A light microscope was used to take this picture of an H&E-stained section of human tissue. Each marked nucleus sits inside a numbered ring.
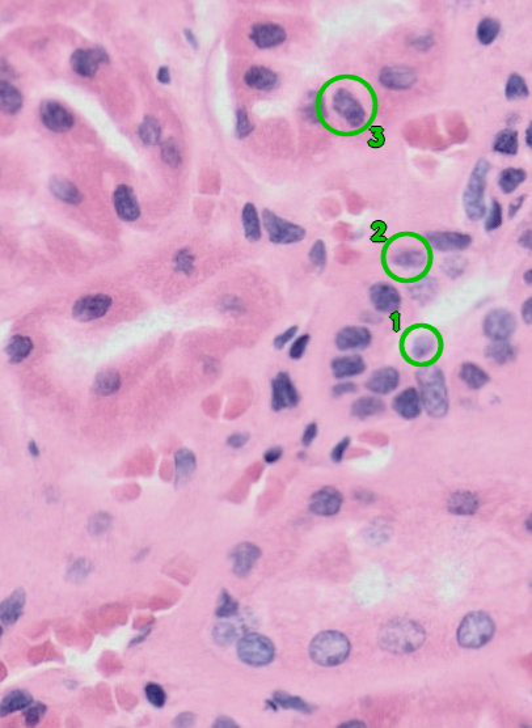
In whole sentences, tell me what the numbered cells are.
Cell 1 is a collecting duct cell, cell 2 is a collecting duct cell and cell 3 is a proximal tubule cell.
